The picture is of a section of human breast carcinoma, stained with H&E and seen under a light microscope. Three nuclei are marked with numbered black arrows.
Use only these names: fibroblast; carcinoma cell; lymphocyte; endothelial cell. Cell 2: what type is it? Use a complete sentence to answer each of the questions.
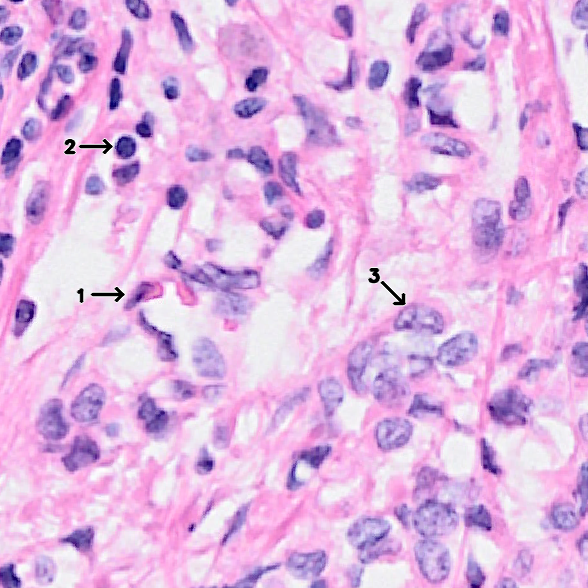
Marked with the number 2, this cell is a lymphocyte.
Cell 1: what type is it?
Looking at the numbered marks, cell 1 is an endothelial cell.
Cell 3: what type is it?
Denoted by the label 3 in the section is a carcinoma cell.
